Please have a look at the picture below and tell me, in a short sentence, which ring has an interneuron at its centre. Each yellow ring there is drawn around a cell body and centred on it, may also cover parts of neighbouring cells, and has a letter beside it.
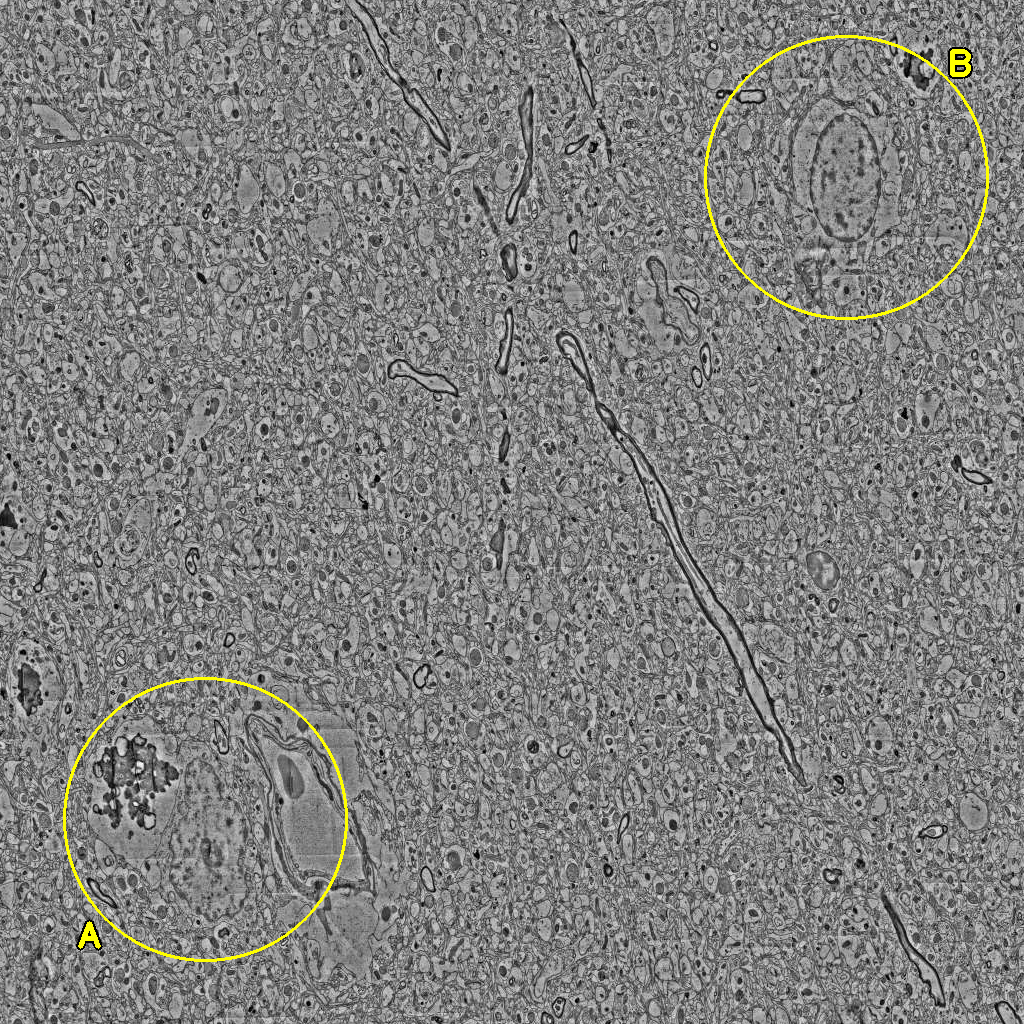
Ring A is centred on it.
